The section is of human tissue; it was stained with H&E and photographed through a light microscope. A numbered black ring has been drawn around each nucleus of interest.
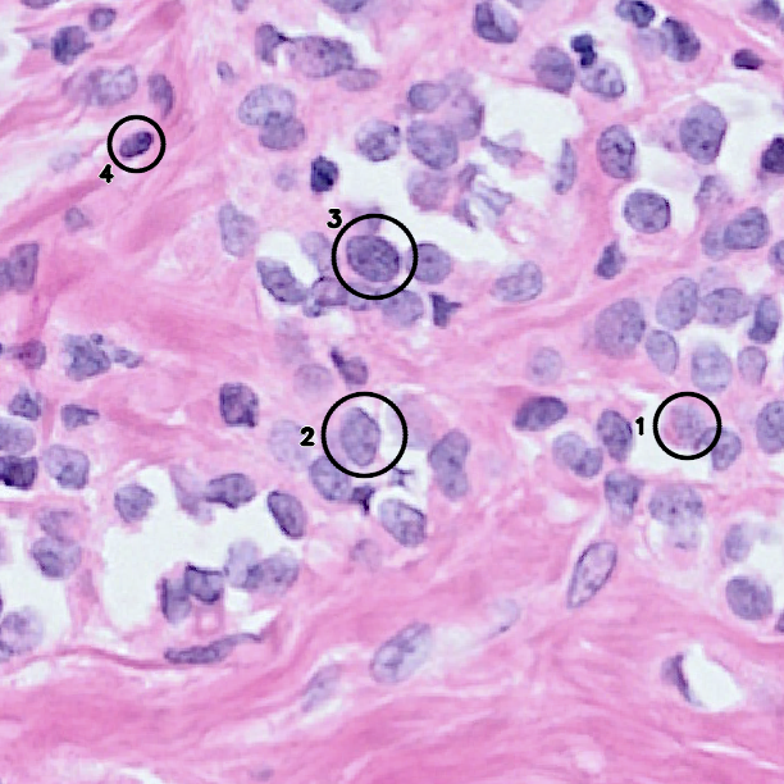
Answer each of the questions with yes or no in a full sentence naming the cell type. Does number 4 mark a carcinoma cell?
No, number 4 points to a lymphocyte and not to a carcinoma cell.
